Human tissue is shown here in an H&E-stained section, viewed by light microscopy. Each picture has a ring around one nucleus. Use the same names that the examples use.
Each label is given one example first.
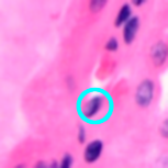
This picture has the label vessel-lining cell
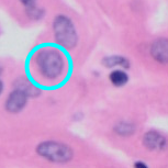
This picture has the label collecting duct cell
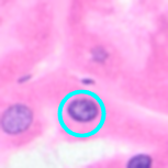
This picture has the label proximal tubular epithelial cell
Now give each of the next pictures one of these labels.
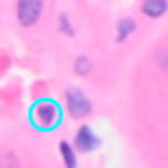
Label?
vessel-lining cell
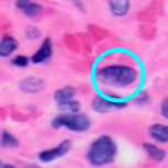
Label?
vessel-lining cell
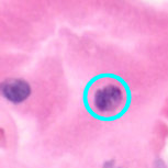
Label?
proximal tubular epithelial cell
